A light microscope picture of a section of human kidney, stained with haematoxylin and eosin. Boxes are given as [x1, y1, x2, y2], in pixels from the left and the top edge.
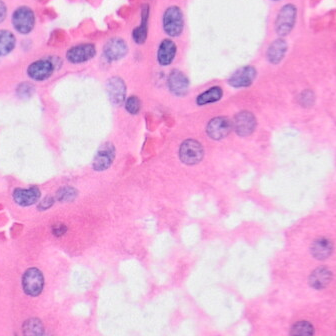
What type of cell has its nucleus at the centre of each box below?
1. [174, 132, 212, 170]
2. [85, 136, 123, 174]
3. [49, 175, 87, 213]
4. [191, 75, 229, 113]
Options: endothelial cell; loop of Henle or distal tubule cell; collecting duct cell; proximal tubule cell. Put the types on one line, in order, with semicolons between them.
proximal tubule cell; collecting duct cell; collecting duct cell; collecting duct cell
